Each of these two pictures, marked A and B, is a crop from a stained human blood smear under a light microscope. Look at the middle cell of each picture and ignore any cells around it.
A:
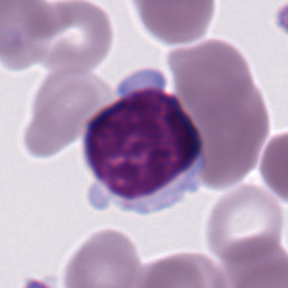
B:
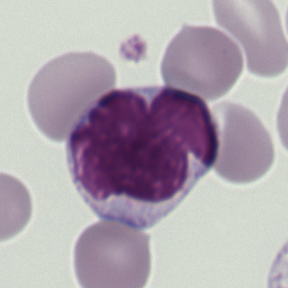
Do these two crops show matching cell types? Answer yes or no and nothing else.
yes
